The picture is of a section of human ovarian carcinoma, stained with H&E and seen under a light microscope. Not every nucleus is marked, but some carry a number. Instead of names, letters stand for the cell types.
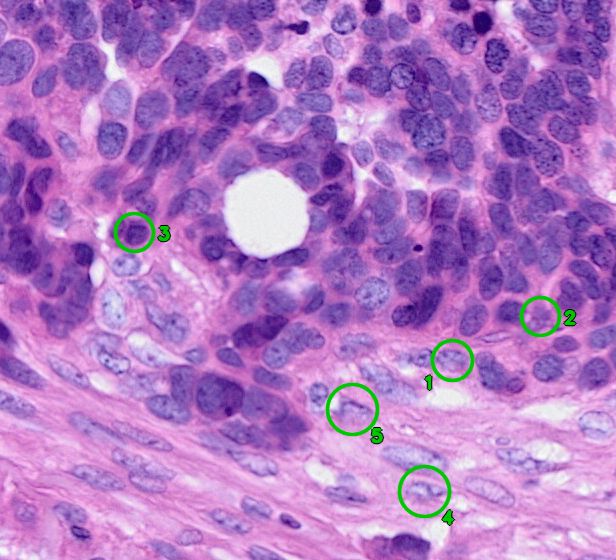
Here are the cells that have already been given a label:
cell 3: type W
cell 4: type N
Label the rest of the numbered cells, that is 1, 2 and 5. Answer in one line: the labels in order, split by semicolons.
type N; type W; type N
